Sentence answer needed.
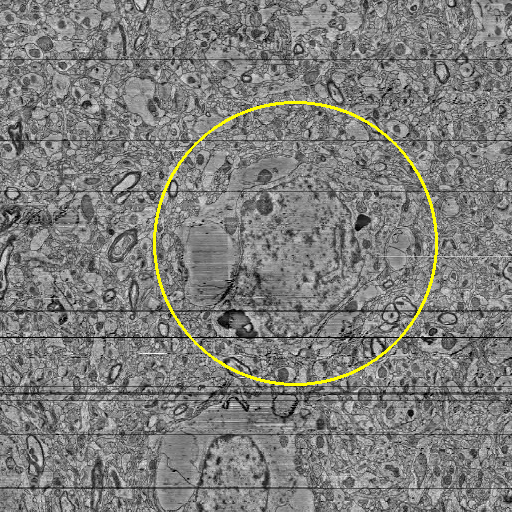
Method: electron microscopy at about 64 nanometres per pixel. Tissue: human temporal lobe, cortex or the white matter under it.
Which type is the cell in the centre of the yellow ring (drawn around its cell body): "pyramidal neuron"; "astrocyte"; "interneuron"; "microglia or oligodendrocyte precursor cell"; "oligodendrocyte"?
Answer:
In the centre of the yellow ring is an interneuron.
